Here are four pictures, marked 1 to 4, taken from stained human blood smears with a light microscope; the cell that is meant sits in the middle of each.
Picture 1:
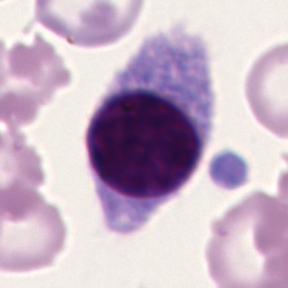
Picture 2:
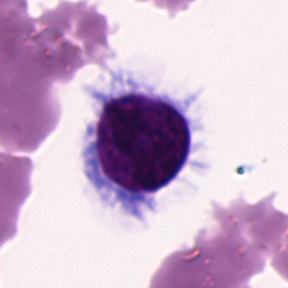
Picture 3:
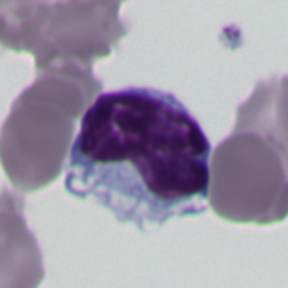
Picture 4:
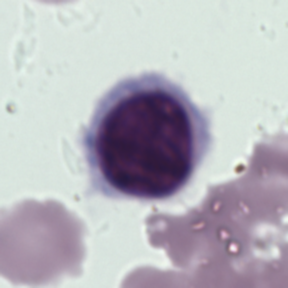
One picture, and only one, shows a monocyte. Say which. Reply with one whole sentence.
Picture 3 is the one that shows the monocyte.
